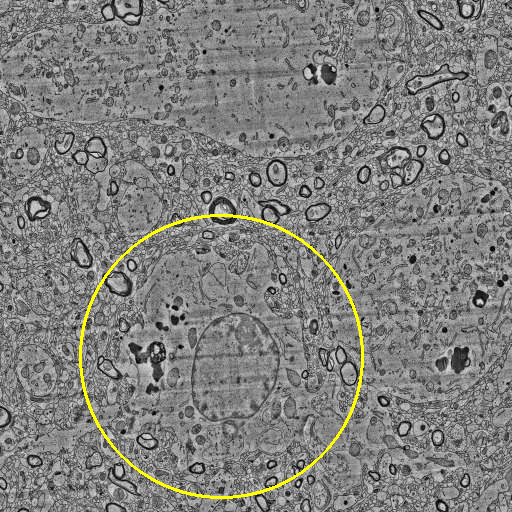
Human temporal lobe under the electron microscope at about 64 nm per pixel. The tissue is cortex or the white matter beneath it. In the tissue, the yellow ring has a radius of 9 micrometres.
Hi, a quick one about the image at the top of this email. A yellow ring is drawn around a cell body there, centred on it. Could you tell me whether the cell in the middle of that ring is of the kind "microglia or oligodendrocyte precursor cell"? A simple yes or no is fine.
no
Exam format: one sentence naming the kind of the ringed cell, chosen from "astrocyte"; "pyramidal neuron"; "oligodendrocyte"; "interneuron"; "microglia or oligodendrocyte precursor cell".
This picture has an astrocyte at the centre of its ring.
